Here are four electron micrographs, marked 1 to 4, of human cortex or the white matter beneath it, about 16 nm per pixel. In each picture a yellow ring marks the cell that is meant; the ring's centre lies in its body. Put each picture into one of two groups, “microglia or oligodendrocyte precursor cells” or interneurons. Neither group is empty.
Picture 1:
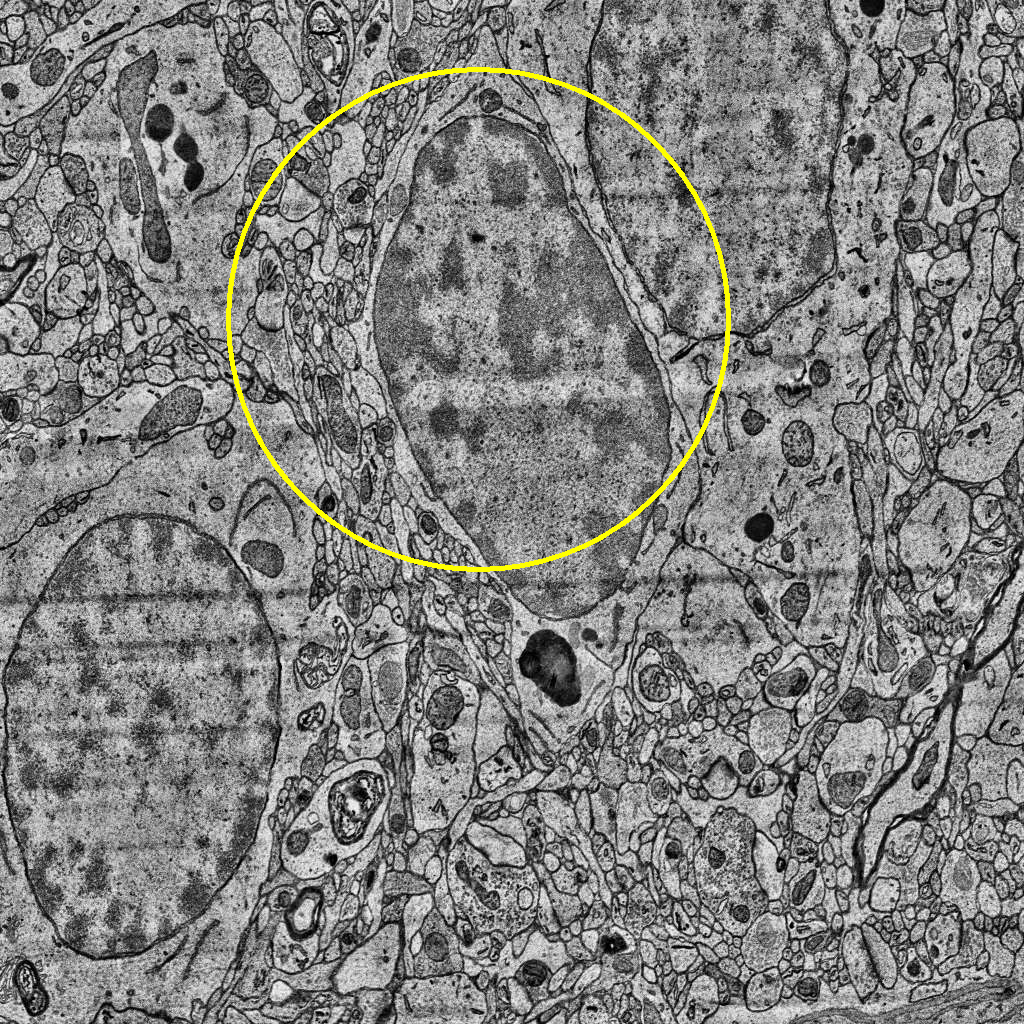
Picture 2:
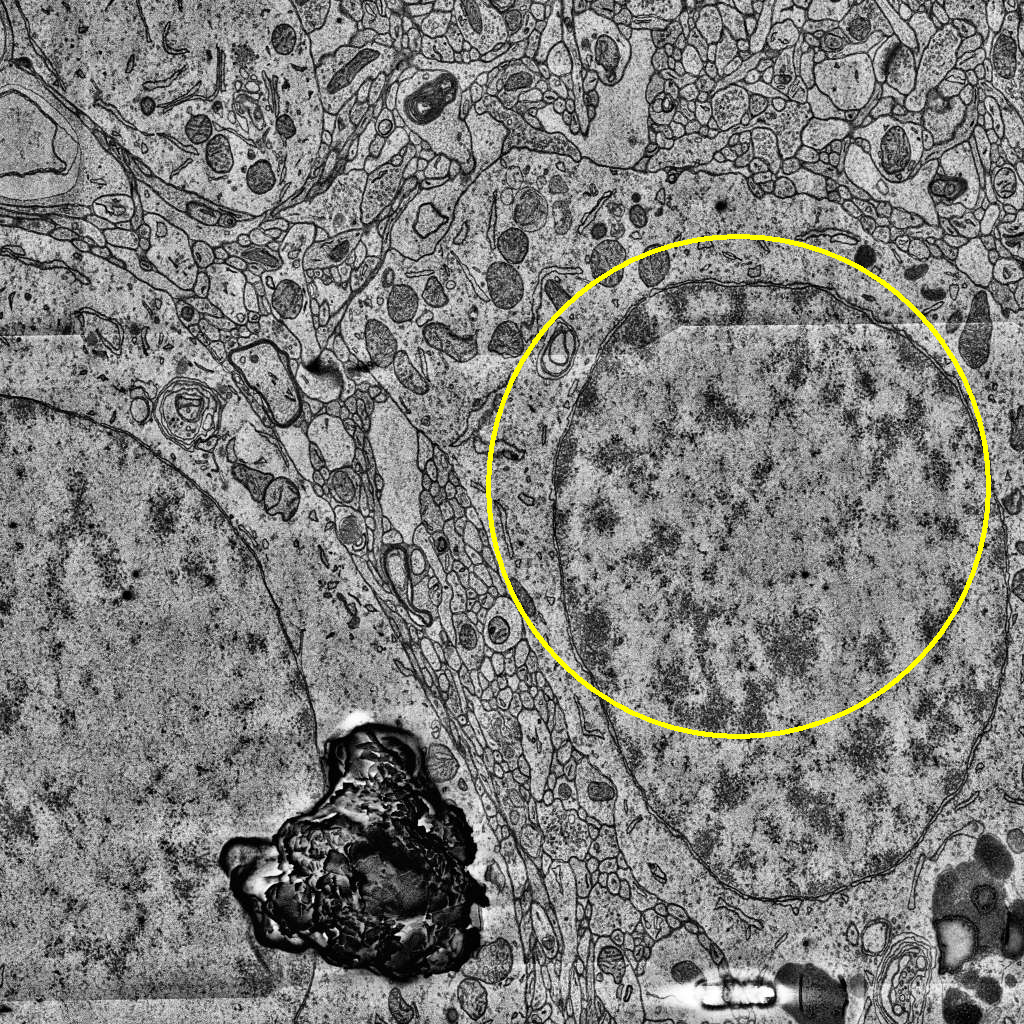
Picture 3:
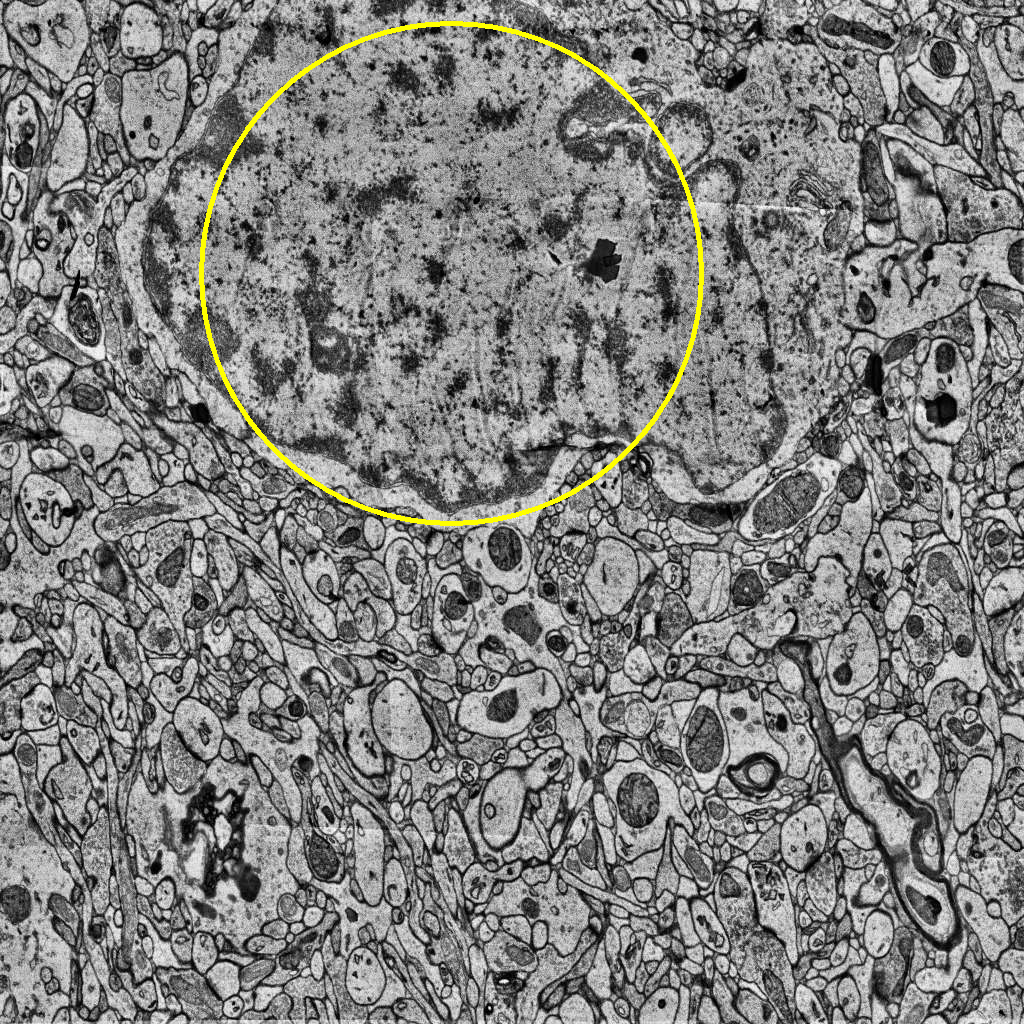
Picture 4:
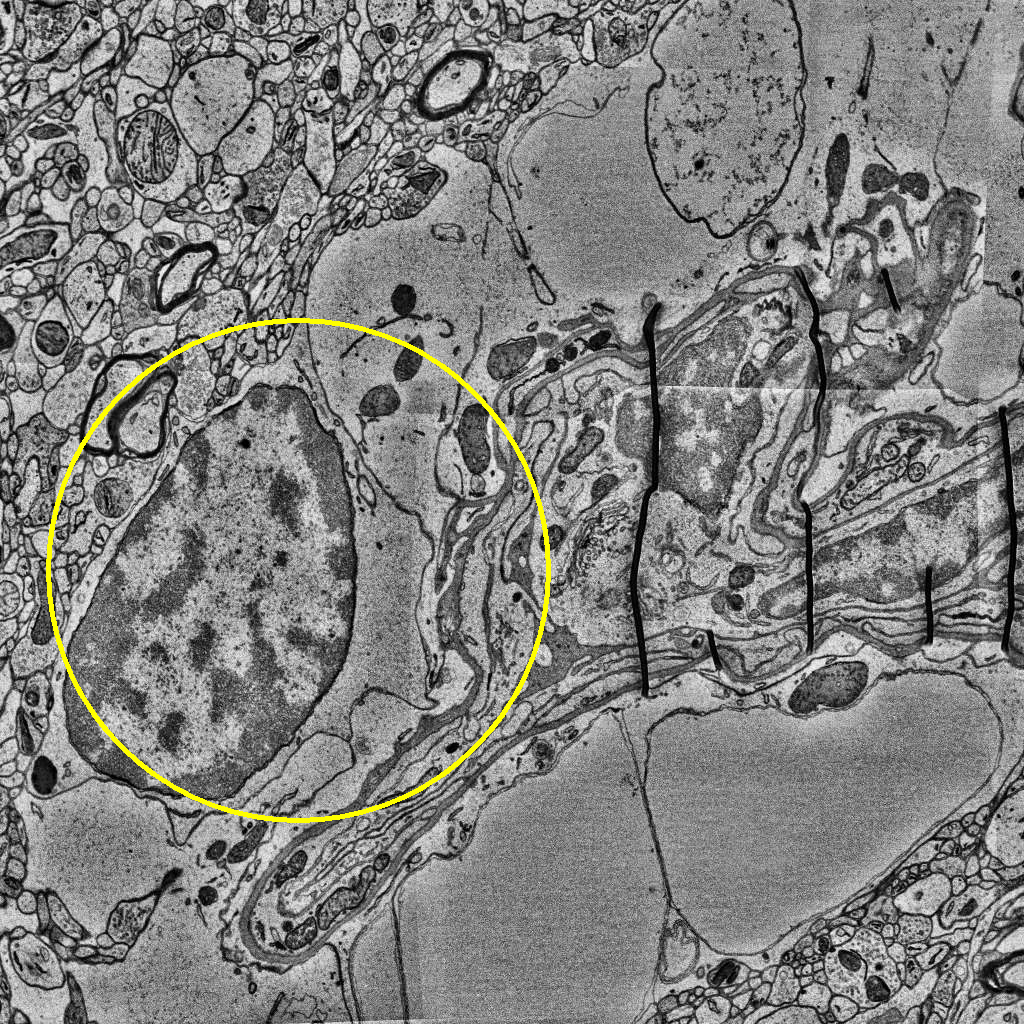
Pictures 1, 3 and 4 show “microglia or oligodendrocyte precursor cells”; picture 2 shows an interneuron.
